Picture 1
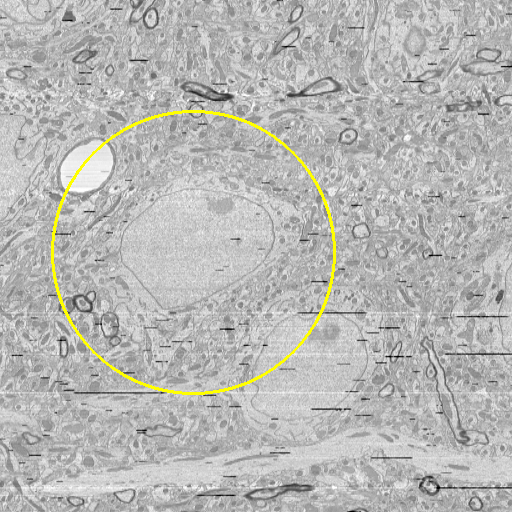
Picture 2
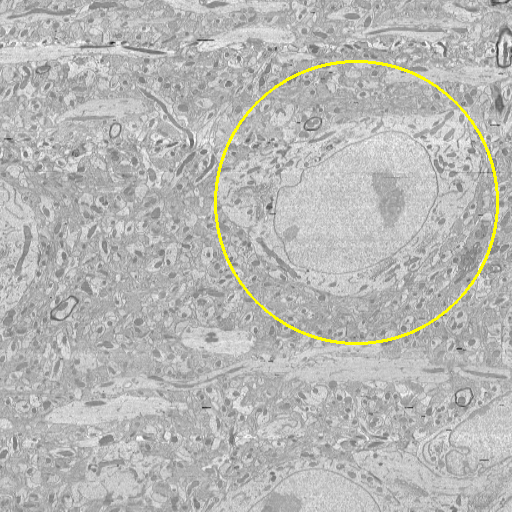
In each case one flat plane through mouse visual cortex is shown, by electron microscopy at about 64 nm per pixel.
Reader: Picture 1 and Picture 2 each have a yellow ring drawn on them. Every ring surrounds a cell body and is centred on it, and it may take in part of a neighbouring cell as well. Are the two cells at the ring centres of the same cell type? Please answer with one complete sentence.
Yes, both cells are of the same cell type.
